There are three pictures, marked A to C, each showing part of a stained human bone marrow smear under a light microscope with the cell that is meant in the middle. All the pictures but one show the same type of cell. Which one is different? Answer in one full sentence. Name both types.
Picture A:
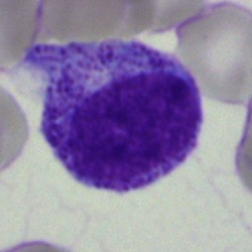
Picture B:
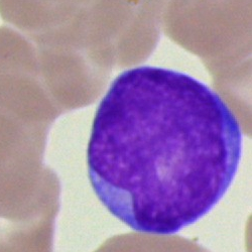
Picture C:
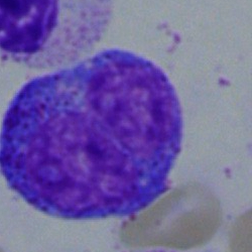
The different one is picture A; it shows a myelocyte, whereas all the others show blasts.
